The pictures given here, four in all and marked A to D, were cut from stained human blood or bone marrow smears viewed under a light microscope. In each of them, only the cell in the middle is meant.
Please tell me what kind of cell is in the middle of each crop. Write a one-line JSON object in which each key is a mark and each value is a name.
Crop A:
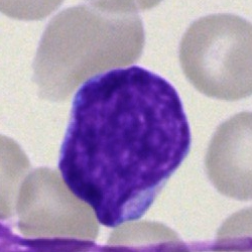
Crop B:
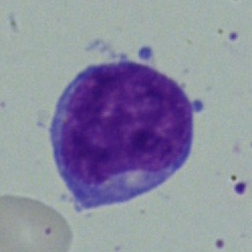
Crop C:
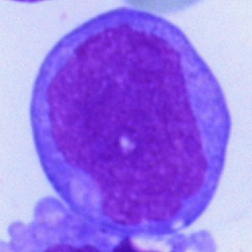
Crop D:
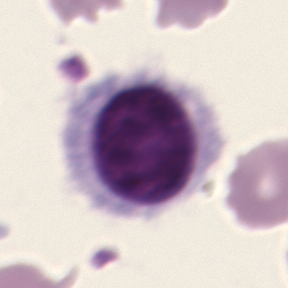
{"A": "blast", "B": "blast", "C": "blast", "D": "hairy cell"}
